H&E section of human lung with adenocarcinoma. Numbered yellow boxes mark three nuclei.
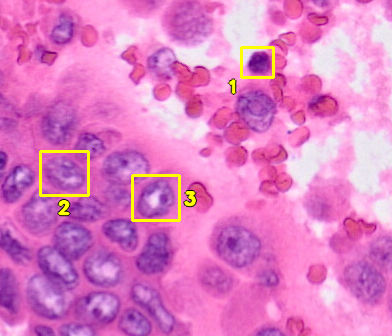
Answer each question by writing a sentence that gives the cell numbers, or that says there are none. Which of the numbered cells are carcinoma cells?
Cells 2 and 3 are carcinoma cells by cell type.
